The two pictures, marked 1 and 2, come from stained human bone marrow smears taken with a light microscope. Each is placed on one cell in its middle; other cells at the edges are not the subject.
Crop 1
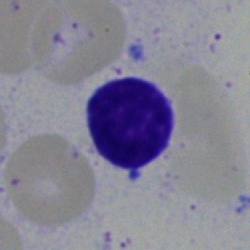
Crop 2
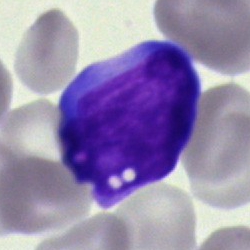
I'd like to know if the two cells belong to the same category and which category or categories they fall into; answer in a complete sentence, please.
No, crop 1 contains a lymphocyte, while crop 2 contains a blast.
